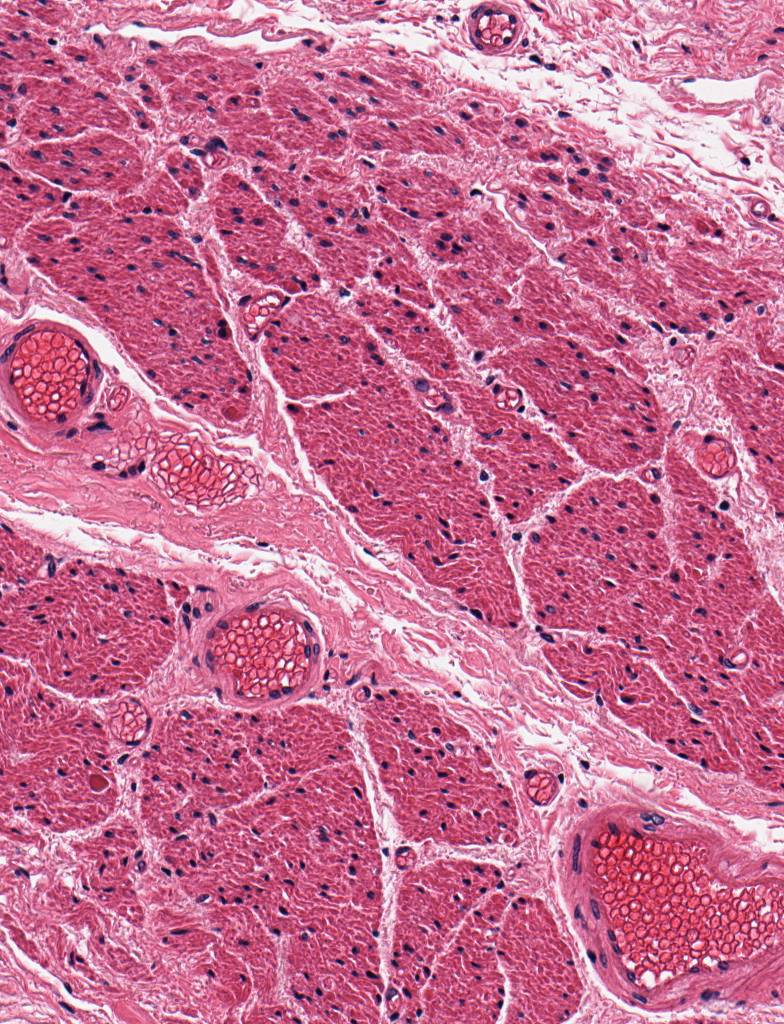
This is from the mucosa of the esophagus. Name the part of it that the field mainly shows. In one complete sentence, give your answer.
The portion of tissue on this slide is called smooth muscle.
